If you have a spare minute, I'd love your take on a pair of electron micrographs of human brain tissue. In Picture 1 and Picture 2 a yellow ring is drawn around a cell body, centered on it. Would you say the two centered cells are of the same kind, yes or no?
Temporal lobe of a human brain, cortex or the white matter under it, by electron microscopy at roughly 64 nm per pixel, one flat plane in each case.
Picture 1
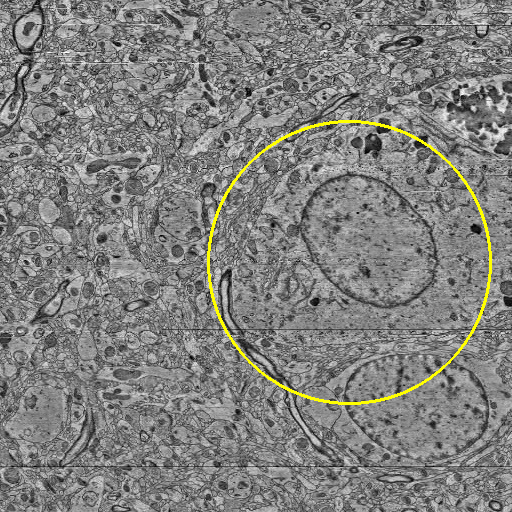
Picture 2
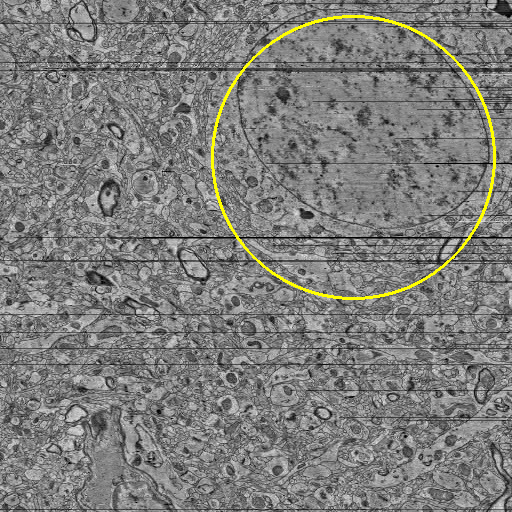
yes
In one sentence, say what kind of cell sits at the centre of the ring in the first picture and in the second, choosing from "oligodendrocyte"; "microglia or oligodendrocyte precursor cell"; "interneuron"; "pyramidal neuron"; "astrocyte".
Both rings mark a pyramidal neuron, one in each picture.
